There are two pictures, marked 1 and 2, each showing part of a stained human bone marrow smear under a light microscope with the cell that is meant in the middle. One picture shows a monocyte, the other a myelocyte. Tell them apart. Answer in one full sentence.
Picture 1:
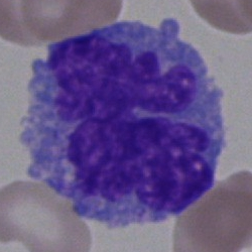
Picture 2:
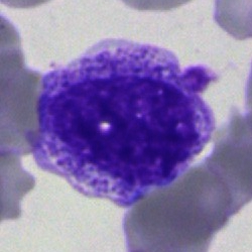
In picture 1 the cell is a monocyte; in picture 2, a myelocyte.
